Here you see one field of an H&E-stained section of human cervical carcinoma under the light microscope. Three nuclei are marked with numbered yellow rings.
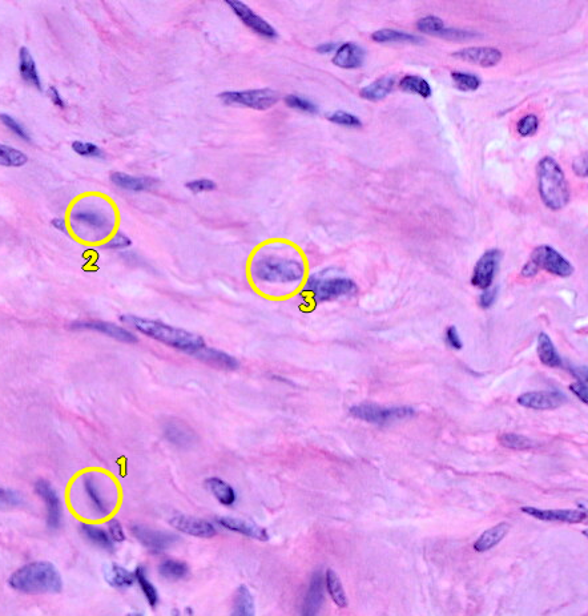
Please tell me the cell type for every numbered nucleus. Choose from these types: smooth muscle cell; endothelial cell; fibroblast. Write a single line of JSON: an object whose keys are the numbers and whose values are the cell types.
{"1": "fibroblast", "2": "fibroblast", "3": "endothelial cell"}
